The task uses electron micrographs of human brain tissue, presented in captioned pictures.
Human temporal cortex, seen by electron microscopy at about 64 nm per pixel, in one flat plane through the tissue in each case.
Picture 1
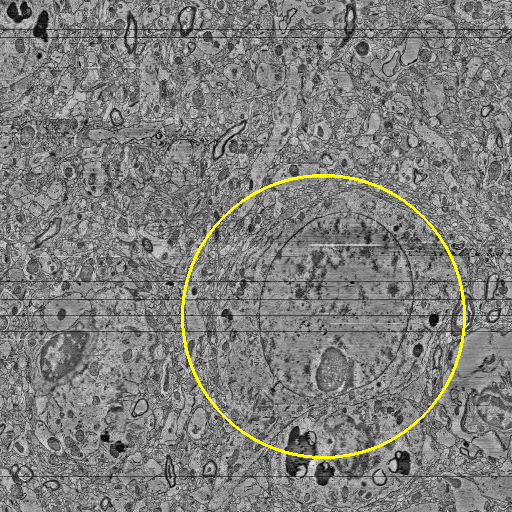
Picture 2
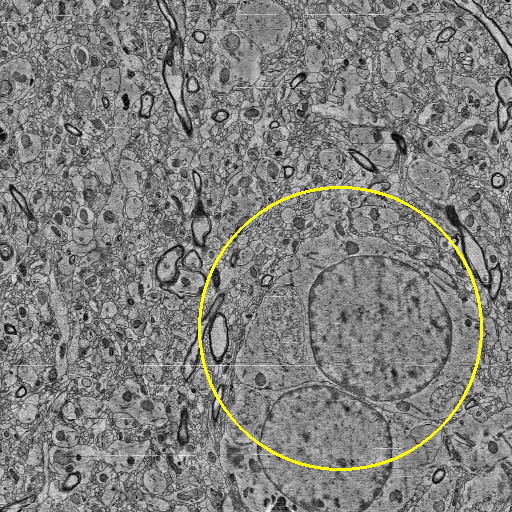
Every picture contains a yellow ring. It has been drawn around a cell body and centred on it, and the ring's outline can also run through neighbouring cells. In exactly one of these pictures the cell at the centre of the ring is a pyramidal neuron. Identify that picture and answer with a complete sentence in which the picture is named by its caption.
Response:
The ring in Picture 1 is centred on that kind of cell.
